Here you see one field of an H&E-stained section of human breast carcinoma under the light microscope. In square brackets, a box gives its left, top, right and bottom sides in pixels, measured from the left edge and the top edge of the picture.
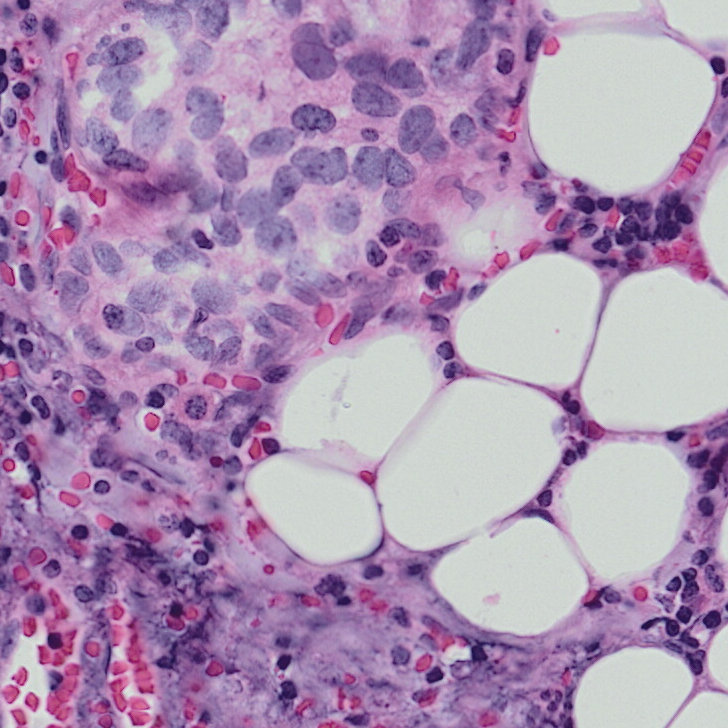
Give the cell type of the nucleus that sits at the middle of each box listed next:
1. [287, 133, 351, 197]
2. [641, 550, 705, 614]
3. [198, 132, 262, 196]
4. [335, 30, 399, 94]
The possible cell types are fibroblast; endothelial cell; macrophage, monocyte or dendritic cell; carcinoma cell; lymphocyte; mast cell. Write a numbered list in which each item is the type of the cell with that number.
1. carcinoma cell
2. lymphocyte
3. carcinoma cell
4. carcinoma cell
